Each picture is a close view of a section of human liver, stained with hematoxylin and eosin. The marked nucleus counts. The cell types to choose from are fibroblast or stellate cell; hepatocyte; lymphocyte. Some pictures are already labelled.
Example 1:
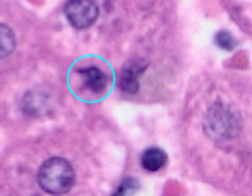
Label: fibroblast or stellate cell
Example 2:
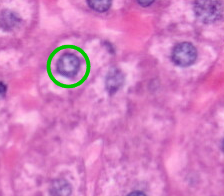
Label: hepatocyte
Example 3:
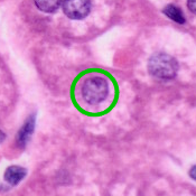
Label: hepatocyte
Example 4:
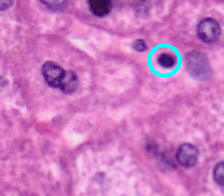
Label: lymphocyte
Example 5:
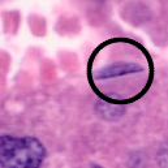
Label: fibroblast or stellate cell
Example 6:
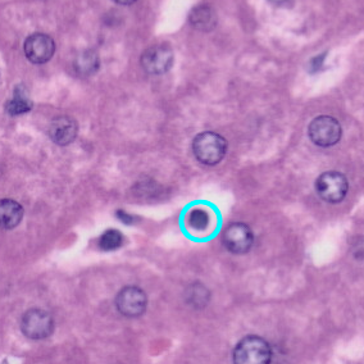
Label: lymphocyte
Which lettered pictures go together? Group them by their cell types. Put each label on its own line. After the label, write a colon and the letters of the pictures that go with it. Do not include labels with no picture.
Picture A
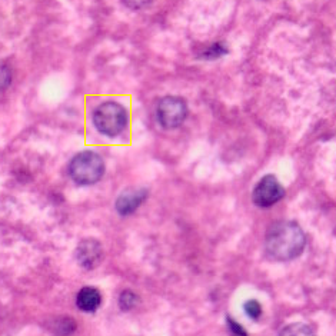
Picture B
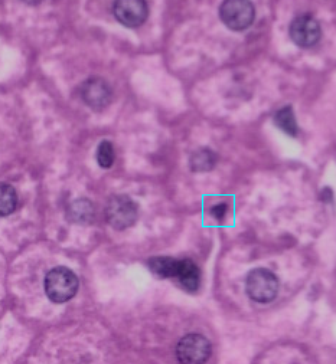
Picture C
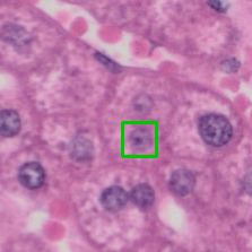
fibroblast or stellate cell: B
hepatocyte: A, C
